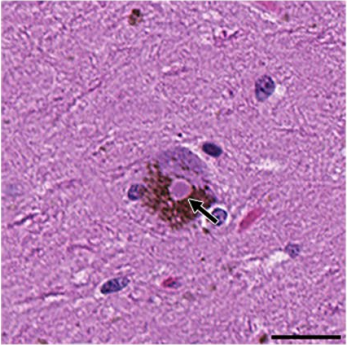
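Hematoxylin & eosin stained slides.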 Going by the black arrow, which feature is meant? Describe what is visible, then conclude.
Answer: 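Lewy bodies. A round pink inclusion lies in the cytoplasm of a large neuron. The inclusion is surrounded by a pale halo. The neuron's cytoplasm is filled with brown granular pigment.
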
